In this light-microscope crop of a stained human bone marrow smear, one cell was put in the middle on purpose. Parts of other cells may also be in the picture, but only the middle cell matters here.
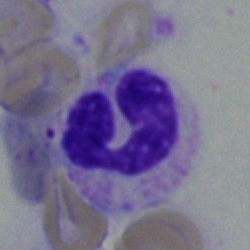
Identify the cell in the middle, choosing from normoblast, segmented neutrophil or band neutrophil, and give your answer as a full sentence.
This particular crop is centered on a band neutrophil.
